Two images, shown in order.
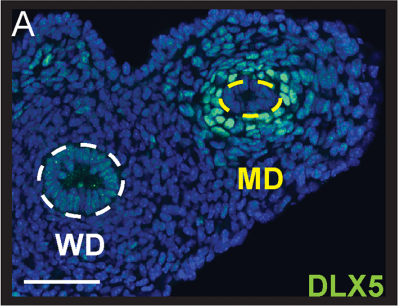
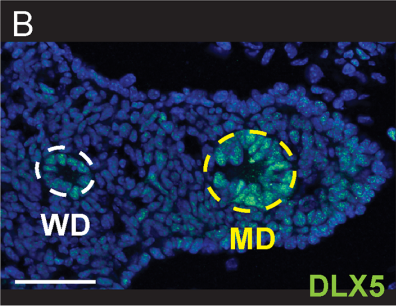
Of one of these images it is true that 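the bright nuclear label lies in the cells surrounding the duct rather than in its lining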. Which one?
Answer: the first image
